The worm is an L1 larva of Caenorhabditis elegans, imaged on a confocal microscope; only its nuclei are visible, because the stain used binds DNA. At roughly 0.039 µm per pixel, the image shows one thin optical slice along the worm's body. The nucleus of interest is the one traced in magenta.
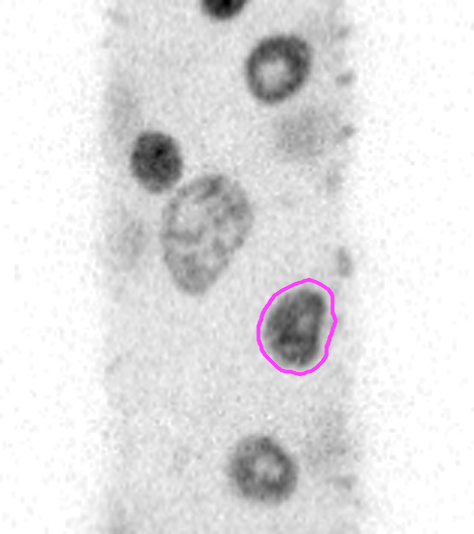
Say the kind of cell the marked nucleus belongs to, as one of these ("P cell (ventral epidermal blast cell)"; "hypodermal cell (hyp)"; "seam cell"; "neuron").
P cell (ventral epidermal blast cell)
